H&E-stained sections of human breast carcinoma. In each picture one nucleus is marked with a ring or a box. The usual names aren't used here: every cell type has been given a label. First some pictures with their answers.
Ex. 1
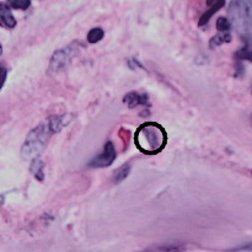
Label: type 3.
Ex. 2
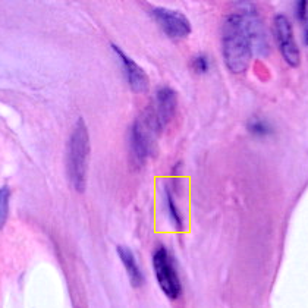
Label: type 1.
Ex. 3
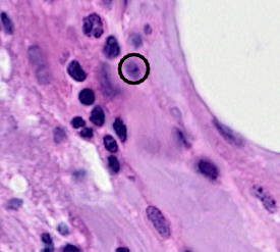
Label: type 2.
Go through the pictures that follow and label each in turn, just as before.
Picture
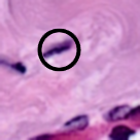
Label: type 1.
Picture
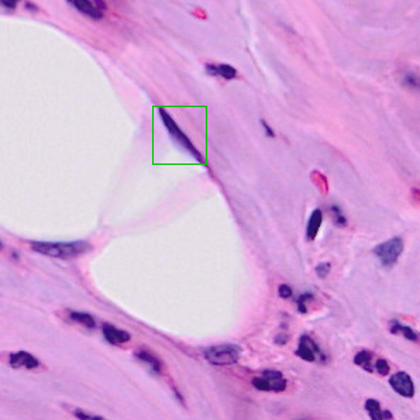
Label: type 1.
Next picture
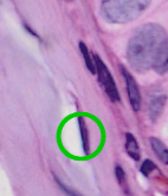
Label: type 1.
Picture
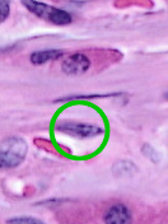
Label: type 3.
